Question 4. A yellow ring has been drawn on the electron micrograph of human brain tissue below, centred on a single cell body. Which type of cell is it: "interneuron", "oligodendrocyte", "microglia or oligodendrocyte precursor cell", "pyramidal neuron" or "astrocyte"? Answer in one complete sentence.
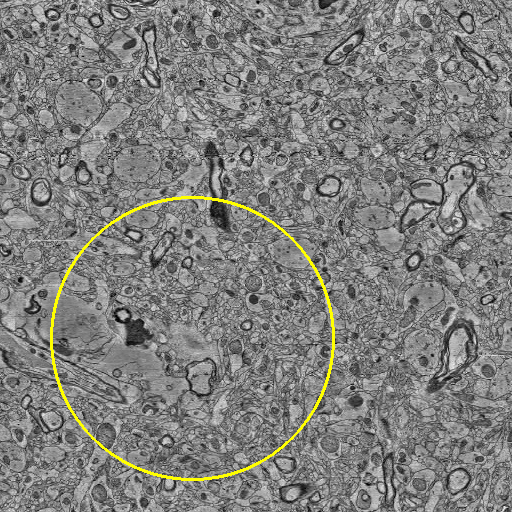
This cell body belongs to an oligodendrocyte.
